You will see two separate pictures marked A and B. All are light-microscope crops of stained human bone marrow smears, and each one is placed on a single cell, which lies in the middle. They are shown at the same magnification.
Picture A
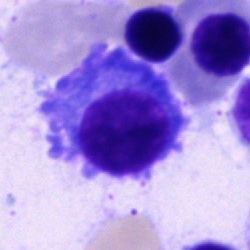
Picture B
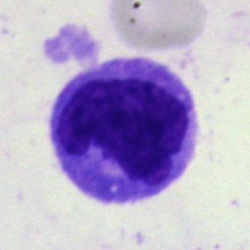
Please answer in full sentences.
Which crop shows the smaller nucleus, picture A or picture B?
The nucleus in picture A is smaller; the one in picture B has about 1.5 times its area.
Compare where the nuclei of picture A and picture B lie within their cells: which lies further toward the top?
Seen within its cell, the nucleus in picture B lies further toward the top.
